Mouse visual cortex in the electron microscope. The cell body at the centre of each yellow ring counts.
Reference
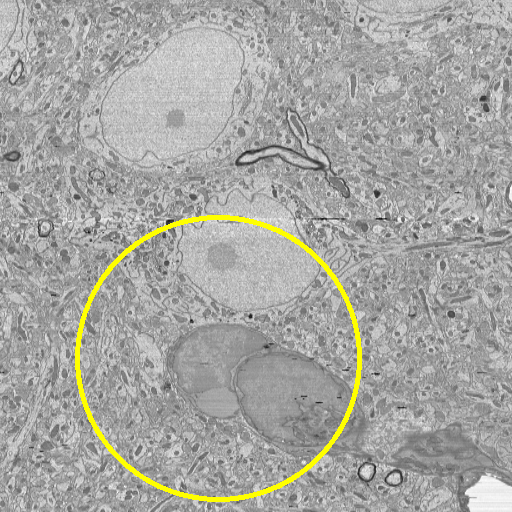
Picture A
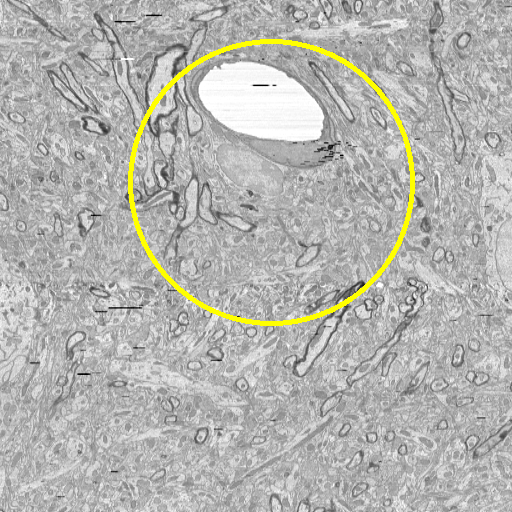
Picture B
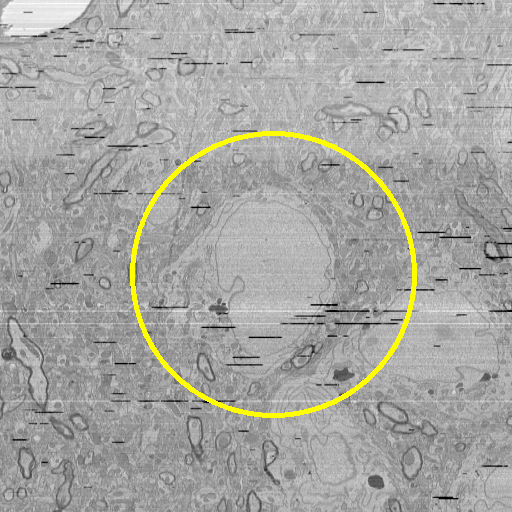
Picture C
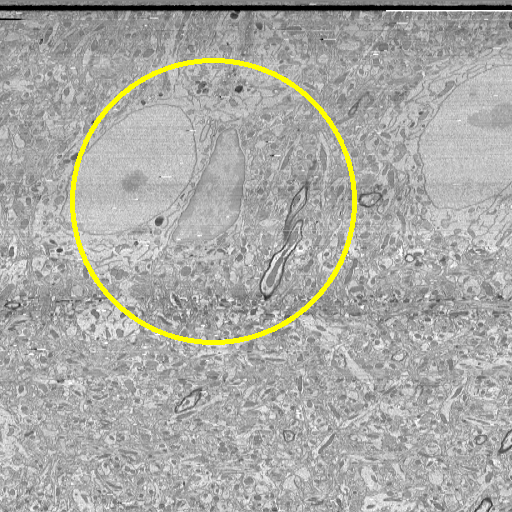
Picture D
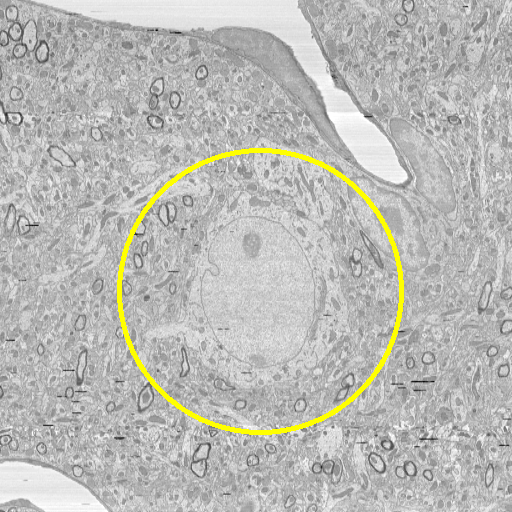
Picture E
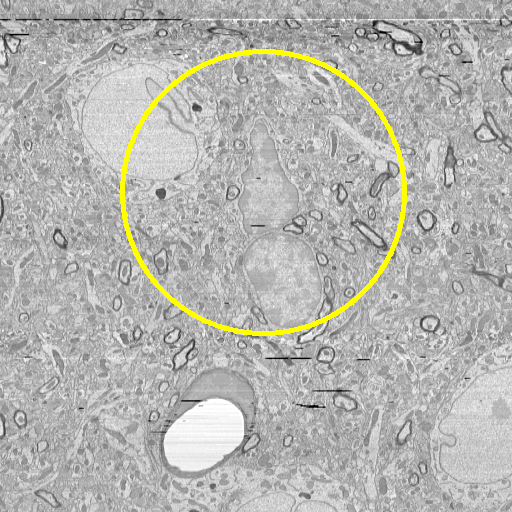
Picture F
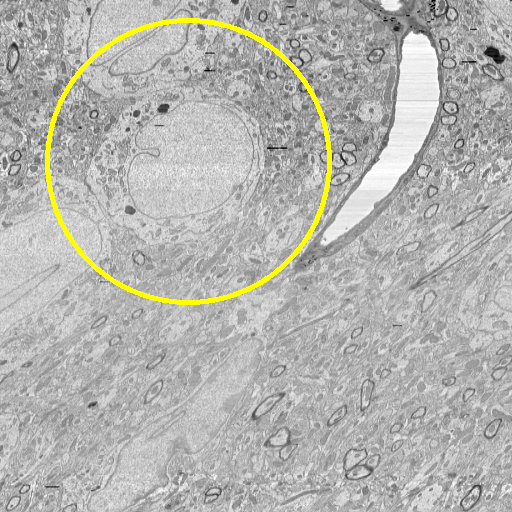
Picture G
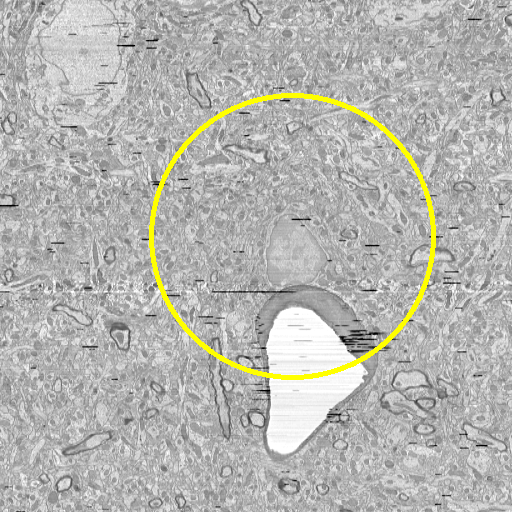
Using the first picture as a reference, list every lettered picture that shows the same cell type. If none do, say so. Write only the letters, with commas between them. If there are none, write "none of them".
A, C, E, G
